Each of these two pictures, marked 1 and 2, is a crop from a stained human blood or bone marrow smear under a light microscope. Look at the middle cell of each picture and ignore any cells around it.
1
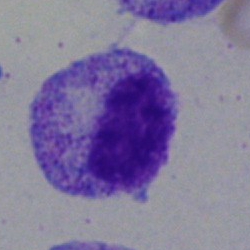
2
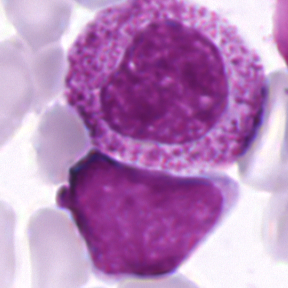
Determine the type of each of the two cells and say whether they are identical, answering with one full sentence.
Yes, the two cells in the two crops are myelocytes.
